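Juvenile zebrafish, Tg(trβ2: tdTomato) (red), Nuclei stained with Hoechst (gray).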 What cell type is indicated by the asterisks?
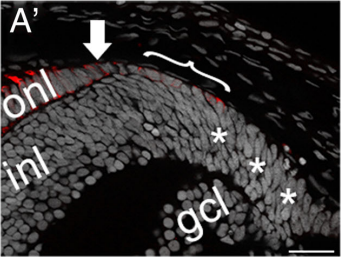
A: Proliferating retinal progenitors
